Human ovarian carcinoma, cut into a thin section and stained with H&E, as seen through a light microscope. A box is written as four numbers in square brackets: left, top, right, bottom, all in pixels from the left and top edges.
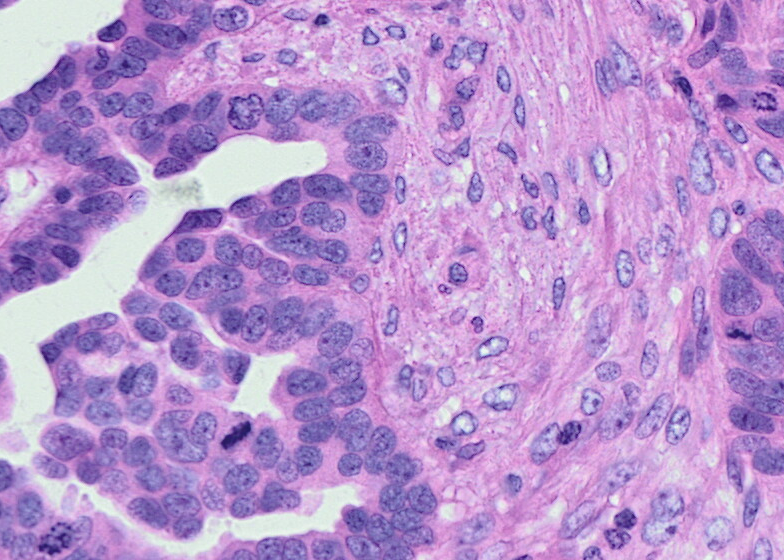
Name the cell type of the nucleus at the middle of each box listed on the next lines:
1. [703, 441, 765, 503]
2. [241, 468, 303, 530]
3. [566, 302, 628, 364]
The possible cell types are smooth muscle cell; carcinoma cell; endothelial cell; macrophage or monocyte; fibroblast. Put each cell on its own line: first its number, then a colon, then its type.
1: fibroblast
2: carcinoma cell
3: fibroblast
